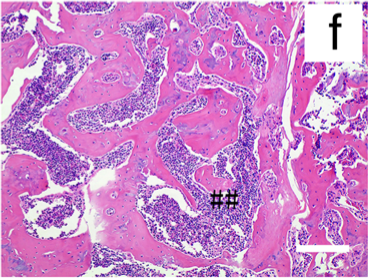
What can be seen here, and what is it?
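Bone with broad, interconnected pink trabeculae encloses marrow spaces filled with hematopoietic cells. The marrow cells are small, round and densely packed, with dark purple nuclei. Scattered small cells lie in lacunae within the pink bone matrix.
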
